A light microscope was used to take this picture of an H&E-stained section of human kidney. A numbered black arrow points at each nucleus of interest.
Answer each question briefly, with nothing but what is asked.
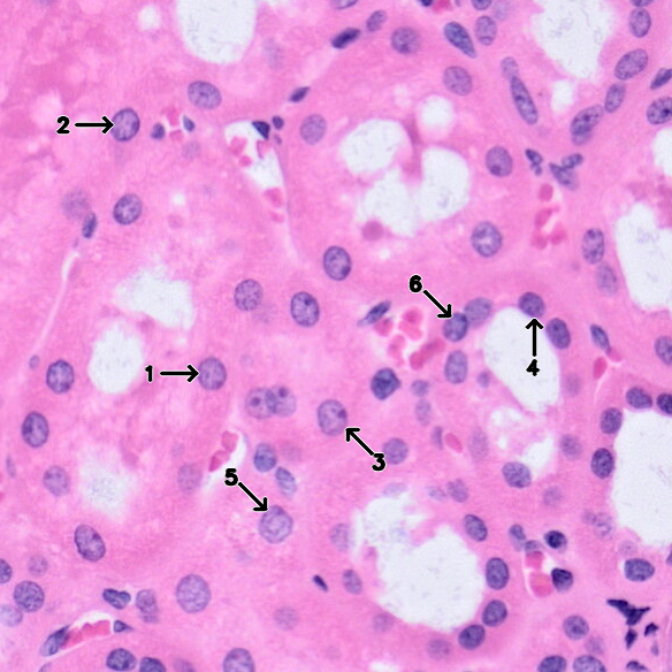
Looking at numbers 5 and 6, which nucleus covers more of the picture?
5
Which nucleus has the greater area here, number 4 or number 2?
2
